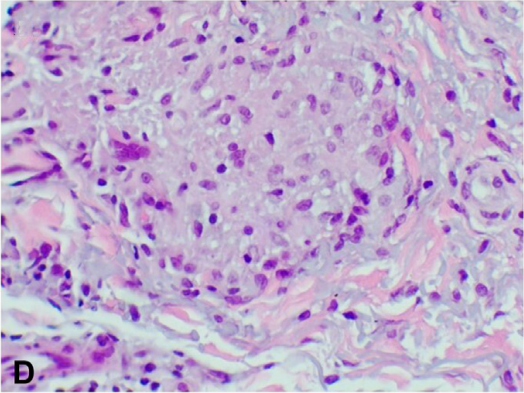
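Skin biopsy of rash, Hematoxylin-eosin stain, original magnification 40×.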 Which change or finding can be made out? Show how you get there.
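Aggregate of cells with pale pink cytoplasm and oval nuclei. Pink collagen bundles lie between and around the cell aggregate. No necrotic debris is seen.
Nonnecrotic granuloma.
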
